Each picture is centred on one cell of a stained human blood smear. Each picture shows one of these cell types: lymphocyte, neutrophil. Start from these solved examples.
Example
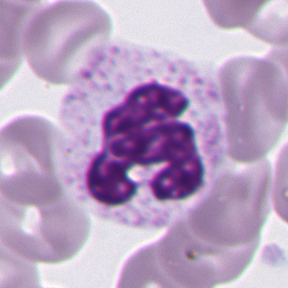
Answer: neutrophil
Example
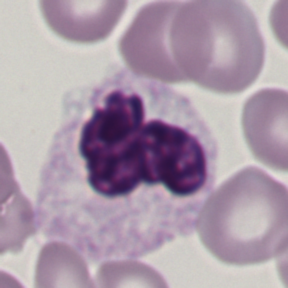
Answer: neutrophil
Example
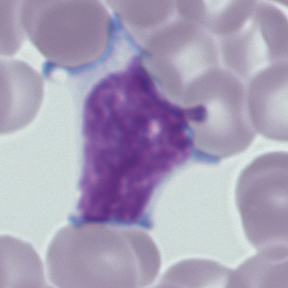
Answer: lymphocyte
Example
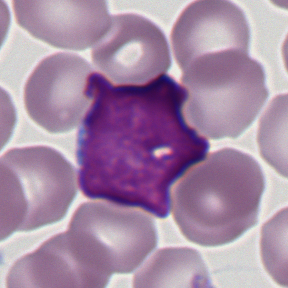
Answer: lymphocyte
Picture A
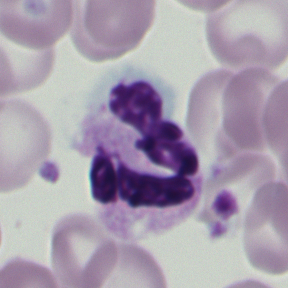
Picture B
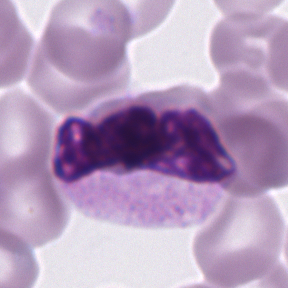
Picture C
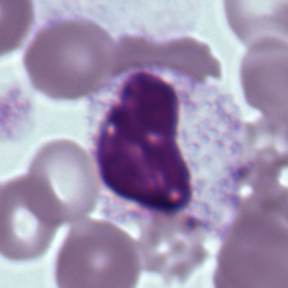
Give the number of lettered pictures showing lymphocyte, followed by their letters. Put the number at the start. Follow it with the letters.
0, none of them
